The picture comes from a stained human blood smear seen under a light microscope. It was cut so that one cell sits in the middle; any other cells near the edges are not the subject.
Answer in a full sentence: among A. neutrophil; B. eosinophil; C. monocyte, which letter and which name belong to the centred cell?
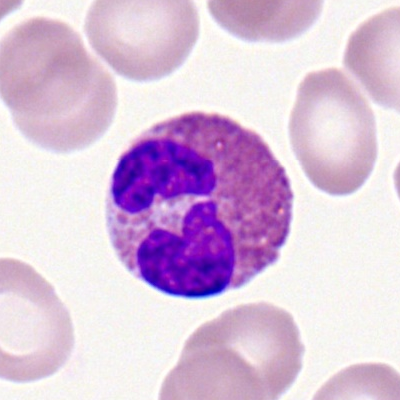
Identified correctly by option B, the cell in the middle is an eosinophil.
